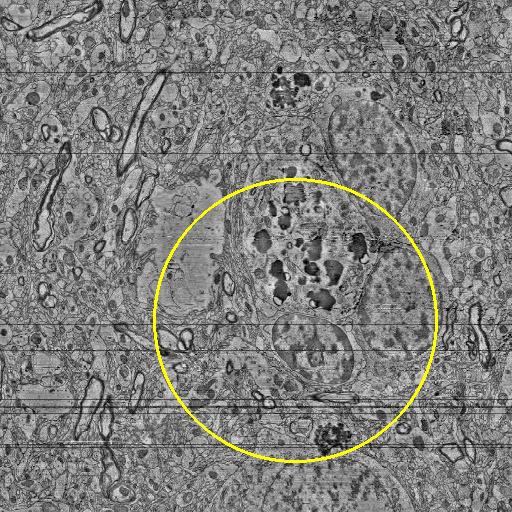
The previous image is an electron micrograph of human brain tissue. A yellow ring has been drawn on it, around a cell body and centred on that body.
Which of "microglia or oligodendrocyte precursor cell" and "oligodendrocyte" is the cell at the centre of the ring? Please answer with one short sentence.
The cell body at the centre of the ring belongs to a microglial cell or oligodendrocyte precursor cell.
